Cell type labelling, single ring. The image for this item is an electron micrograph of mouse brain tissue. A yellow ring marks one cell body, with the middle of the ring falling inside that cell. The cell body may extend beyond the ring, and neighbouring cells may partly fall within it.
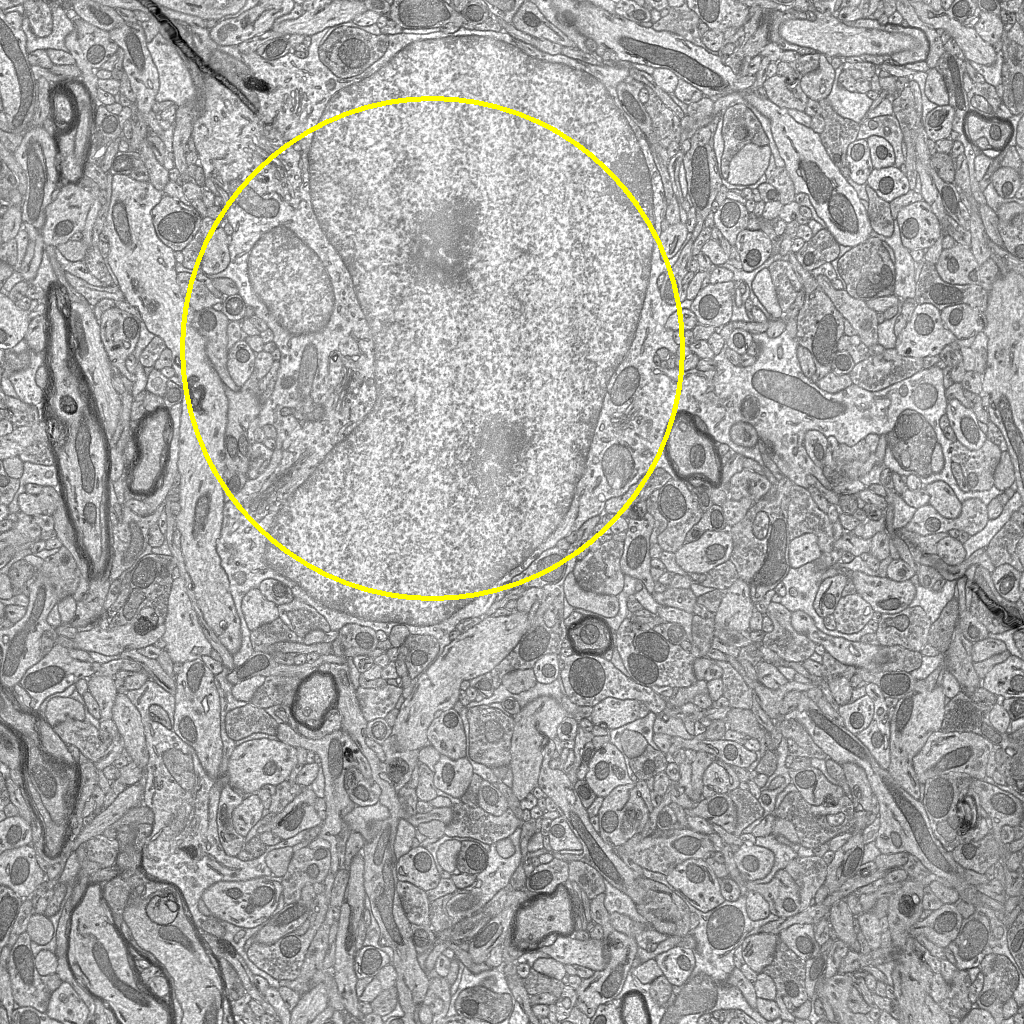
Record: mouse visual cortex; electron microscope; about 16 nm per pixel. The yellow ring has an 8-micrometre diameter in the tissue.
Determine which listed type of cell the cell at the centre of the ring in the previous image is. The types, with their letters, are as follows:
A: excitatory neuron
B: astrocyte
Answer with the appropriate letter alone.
B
